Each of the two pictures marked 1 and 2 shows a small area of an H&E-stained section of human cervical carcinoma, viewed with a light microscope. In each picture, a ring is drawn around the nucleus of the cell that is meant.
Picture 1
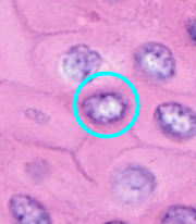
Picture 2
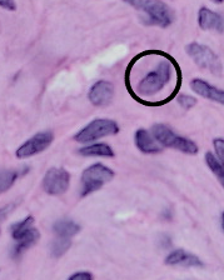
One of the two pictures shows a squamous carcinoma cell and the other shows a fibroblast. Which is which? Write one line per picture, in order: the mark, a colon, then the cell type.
1: squamous carcinoma cell
2: fibroblast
